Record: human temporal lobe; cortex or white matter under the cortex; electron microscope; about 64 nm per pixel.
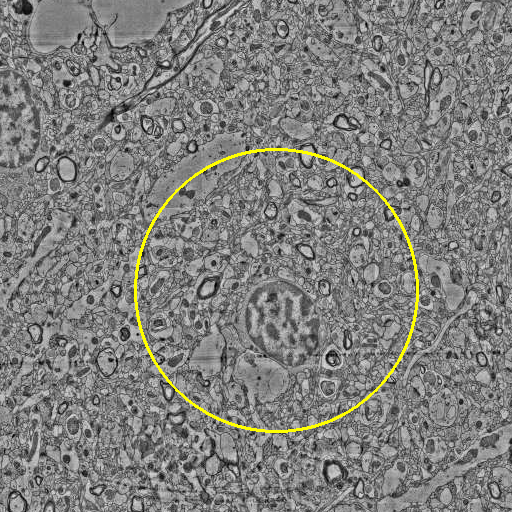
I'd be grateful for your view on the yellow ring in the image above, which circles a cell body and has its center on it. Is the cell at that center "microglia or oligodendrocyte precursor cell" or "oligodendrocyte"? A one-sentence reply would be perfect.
The cell at the center of the yellow ring is an oligodendrocyte.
